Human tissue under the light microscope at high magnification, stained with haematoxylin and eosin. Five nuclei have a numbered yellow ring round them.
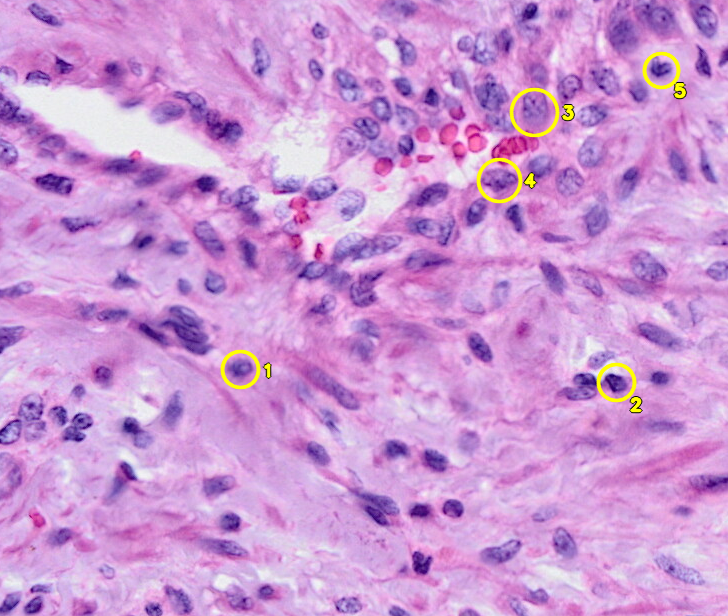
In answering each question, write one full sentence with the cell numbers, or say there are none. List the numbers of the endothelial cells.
Cells 1, 3 and 4 are recognised here as endothelial cells.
